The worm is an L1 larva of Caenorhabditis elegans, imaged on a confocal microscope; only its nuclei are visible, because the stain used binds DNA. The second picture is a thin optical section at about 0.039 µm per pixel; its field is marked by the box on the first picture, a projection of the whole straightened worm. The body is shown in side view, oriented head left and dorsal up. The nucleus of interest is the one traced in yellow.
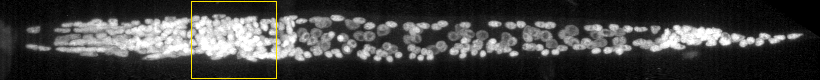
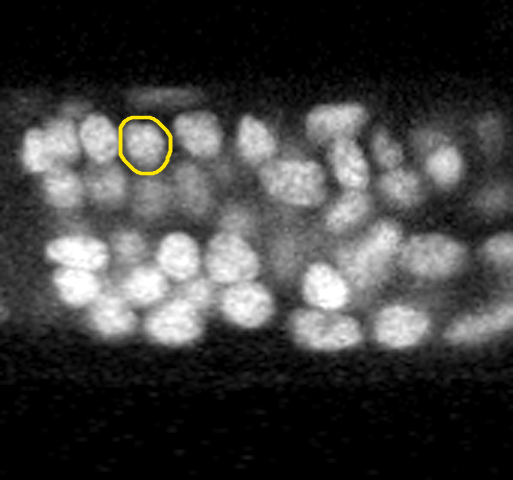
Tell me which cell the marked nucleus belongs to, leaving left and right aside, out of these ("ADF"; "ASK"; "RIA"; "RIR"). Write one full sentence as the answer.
The nucleus is from ASK, a neuron.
